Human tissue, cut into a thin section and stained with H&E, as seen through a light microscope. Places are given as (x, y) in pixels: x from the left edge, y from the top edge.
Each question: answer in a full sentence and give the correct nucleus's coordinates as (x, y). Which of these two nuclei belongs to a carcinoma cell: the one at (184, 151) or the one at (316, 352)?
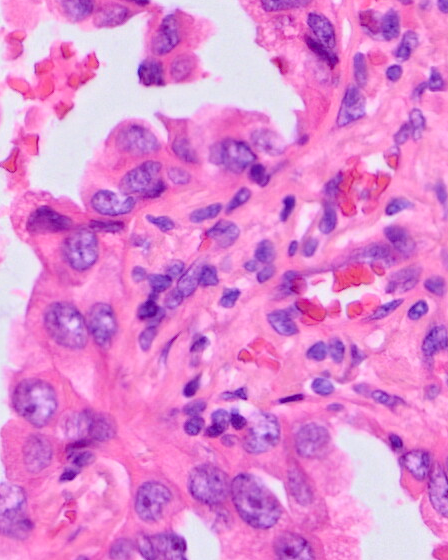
Out of the two, it is the nucleus at (184, 151) that belongs to a carcinoma cell.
